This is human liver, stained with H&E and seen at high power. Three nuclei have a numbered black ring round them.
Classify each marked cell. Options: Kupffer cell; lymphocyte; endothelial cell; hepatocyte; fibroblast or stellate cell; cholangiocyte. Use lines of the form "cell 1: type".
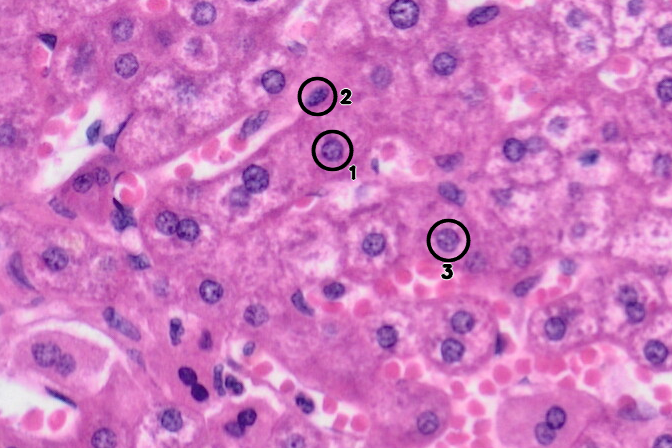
cell 1: hepatocyte
cell 2: fibroblast or stellate cell
cell 3: hepatocyte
